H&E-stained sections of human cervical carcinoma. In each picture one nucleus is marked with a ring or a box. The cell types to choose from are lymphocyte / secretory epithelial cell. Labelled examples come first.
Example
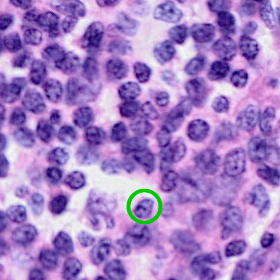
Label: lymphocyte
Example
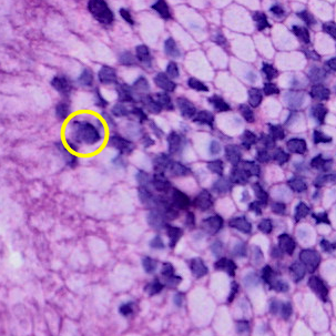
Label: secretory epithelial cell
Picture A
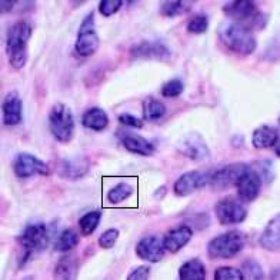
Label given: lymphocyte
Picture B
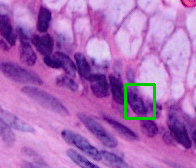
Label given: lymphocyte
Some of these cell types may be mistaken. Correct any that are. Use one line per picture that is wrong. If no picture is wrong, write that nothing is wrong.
B should be secretory epithelial cell, not lymphocyte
